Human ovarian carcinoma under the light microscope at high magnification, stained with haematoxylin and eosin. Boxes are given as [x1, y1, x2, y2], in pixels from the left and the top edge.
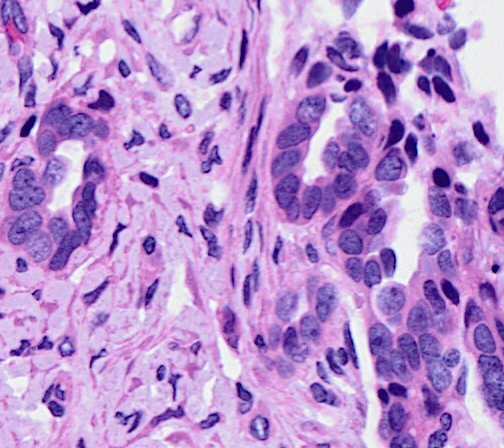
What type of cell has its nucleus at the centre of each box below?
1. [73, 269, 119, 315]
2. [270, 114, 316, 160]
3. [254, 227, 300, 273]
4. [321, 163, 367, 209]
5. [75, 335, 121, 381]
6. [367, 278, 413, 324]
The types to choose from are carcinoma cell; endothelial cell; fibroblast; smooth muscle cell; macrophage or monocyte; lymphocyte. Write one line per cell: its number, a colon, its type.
1: fibroblast
2: carcinoma cell
3: fibroblast
4: carcinoma cell
5: fibroblast
6: carcinoma cell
